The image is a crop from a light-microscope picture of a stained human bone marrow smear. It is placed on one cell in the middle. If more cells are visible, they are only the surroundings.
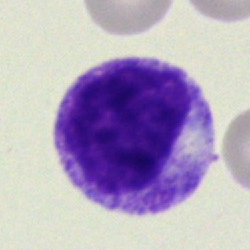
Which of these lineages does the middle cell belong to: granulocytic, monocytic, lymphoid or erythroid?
granulocytic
